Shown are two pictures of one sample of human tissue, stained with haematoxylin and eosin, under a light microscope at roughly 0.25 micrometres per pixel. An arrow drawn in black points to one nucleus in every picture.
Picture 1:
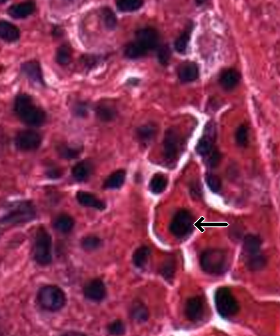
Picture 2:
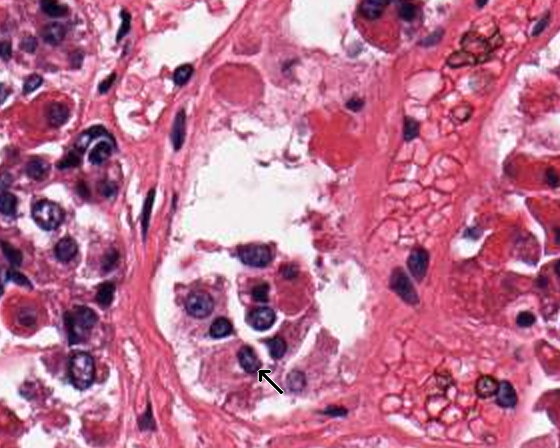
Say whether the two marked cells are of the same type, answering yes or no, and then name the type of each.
Yes, both are anterior pituitary cells.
